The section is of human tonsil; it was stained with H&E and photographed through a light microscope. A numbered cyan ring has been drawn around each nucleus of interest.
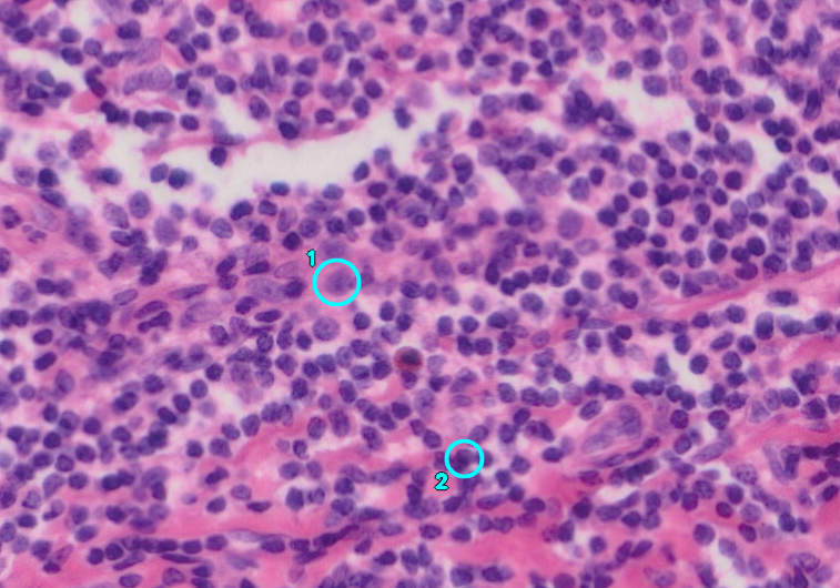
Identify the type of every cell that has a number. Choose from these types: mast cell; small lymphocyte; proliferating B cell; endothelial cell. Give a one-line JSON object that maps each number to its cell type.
{"1": "endothelial cell", "2": "small lymphocyte"}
